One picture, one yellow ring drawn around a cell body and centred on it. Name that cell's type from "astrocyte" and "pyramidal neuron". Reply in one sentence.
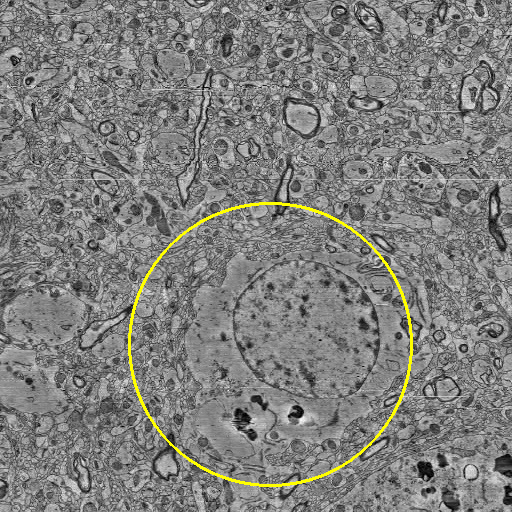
Centred in the ring is an astrocyte.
